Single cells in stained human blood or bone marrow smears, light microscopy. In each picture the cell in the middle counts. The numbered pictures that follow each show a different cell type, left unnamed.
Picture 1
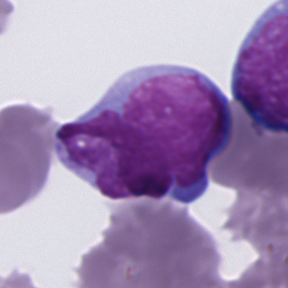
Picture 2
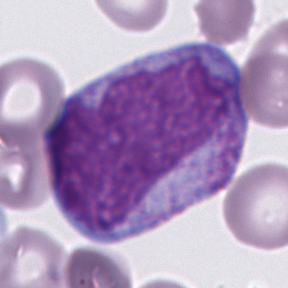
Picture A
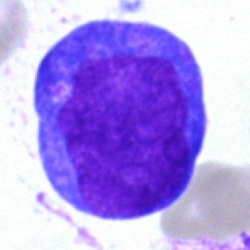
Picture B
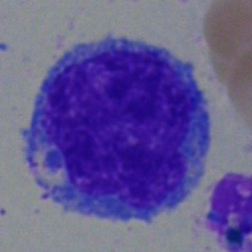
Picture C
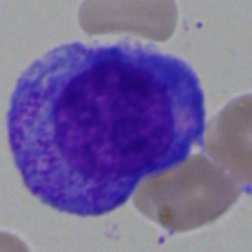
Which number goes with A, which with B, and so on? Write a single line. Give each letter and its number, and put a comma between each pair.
A 2, B 1, C 2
